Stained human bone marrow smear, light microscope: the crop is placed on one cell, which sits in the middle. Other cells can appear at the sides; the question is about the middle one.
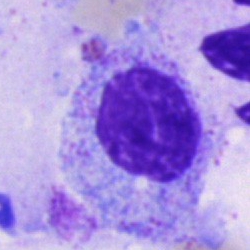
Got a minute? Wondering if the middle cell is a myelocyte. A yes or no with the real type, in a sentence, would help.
Yes, the cell lying in the middle is a myelocyte.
